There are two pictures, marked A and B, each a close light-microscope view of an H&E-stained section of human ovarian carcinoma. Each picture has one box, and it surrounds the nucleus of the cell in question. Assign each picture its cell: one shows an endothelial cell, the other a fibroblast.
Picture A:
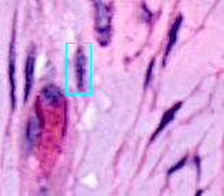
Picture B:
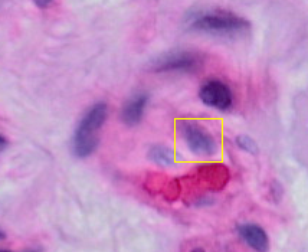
A: fibroblast
B: endothelial cell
